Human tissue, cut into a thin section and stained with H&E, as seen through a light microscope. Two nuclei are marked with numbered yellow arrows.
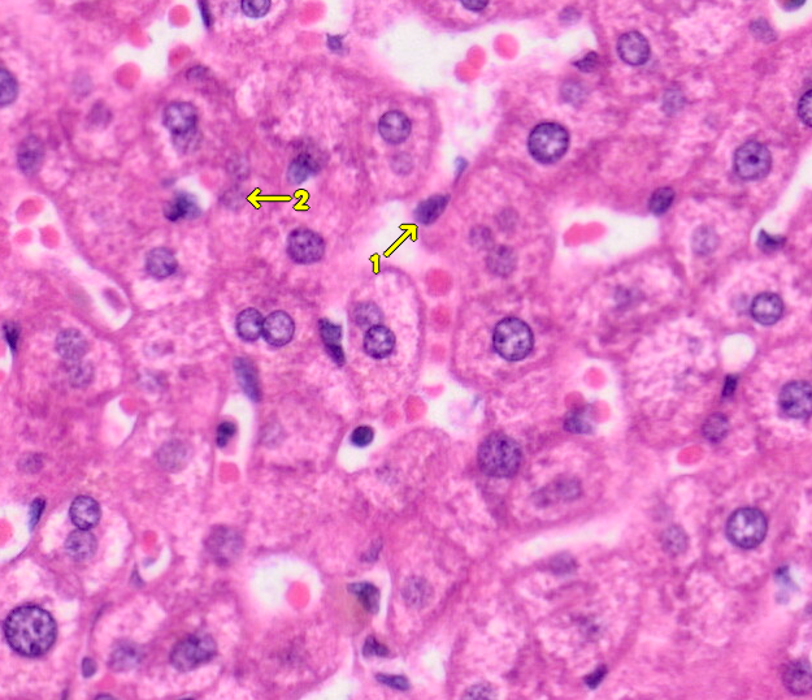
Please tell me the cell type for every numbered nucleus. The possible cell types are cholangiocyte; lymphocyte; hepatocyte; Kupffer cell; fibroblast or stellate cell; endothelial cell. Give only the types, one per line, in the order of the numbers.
fibroblast or stellate cell
hepatocyte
